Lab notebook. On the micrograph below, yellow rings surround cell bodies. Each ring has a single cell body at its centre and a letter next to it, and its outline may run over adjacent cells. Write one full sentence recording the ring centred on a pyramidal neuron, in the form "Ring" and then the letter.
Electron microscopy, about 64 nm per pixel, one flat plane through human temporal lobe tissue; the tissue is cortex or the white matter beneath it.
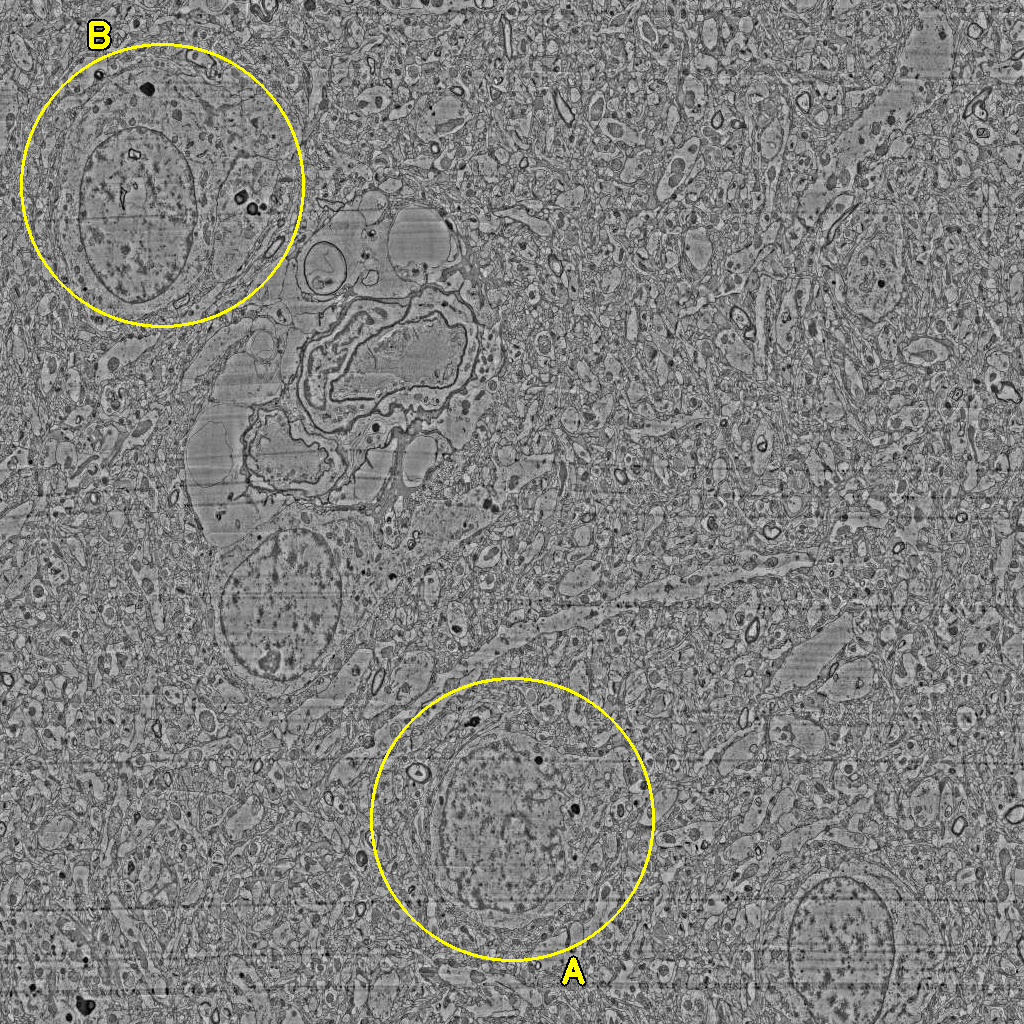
My answer is Ring B, the ring centred on a cell of that kind.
